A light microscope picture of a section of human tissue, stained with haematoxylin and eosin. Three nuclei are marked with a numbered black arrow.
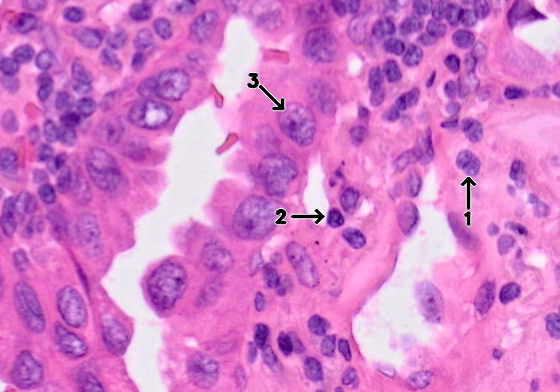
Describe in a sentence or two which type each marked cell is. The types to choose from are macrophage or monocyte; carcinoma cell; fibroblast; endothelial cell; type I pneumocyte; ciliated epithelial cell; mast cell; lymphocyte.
Cells 1 and 2 are lymphocytes. Cell 3 is a carcinoma cell.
